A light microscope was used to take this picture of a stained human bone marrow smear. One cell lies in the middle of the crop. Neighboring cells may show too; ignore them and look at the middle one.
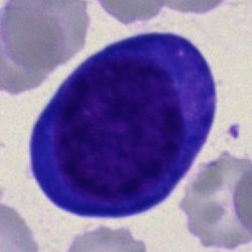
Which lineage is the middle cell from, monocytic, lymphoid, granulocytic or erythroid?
erythroid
